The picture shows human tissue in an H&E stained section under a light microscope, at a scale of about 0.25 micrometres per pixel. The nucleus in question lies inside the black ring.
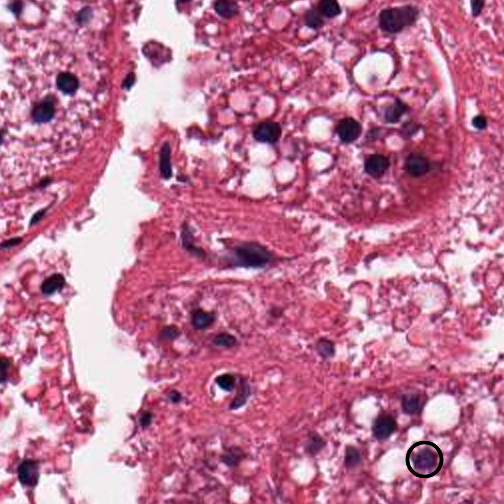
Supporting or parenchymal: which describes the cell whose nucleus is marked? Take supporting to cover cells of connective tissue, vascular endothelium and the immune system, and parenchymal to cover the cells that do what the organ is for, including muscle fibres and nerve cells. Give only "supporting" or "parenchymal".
parenchymal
